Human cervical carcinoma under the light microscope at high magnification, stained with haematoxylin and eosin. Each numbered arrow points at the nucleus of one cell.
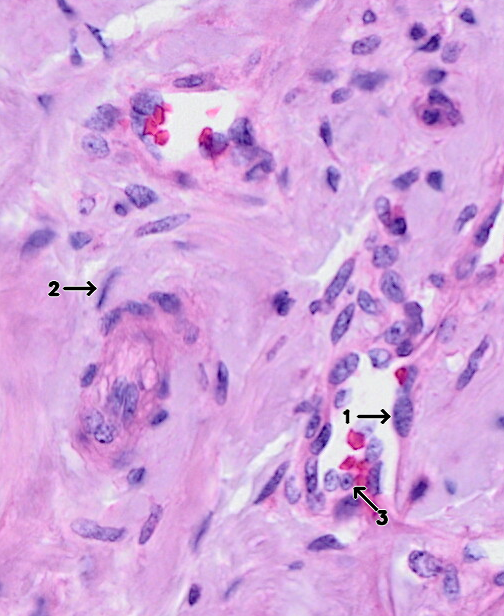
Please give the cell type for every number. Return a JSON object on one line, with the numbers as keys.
{"1": "endothelial cell", "2": "fibroblast", "3": "endothelial cell"}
